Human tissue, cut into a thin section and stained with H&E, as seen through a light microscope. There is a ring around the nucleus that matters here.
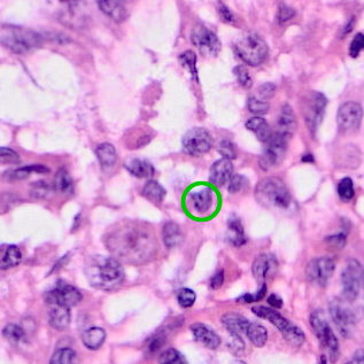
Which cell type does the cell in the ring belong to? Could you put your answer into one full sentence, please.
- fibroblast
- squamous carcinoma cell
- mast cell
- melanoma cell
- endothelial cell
Typologically, the cell in the ring is a melanoma cell in this section.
